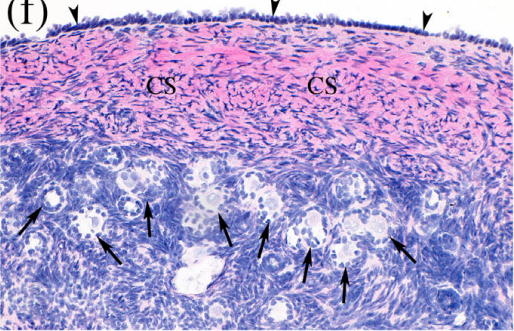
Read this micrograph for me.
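This section of ovarian cortex is covered by a single layer of small, dark, cuboidal surface epithelial cells. Beneath it lies a band of pink cortical stroma made of densely packed spindle-shaped cells running parallel to the surface. Deeper, a densely cellular blue-staining zone holds many small primary follicles, each with a large round oocyte with pale cytoplasm surrounded by a ring of smaller follicle cells.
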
